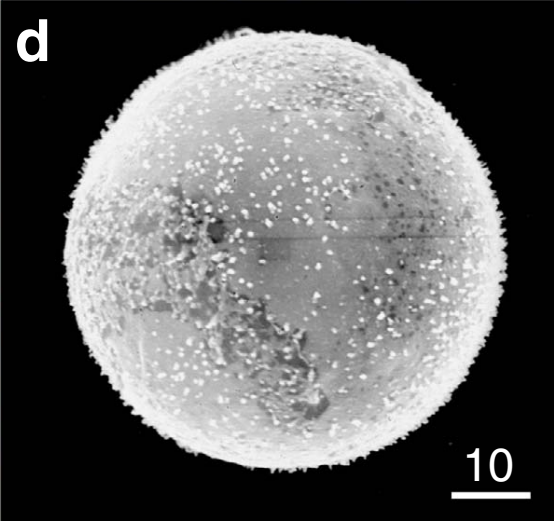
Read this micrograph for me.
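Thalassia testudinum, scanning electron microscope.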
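A single, nearly perfect sphere fills the frame, seen by its surface alone. The wall is smooth between countless tiny bright projections that are scattered fairly evenly over it, giving a finely spiny look; they are far smaller than the sphere itself. In places a flaky, irregular layer of debris or coating lies on the surface, darker and rougher than the rest, and a faint straight line runs across the middle. There are no apertures plainly seen.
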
